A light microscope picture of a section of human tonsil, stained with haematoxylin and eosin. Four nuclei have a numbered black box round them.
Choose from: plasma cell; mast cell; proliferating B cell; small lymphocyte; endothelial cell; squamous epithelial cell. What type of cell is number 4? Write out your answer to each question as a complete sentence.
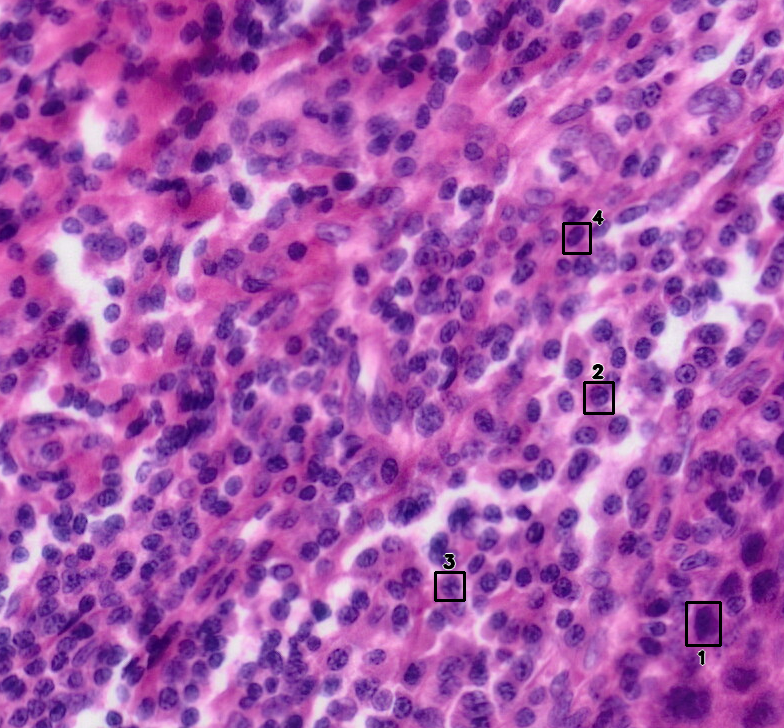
The cell given label 4 is a plasma cell.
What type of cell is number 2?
Among the marked cells, number 2 is a plasma cell.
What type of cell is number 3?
Cell 3 of the marked set is a plasma cell.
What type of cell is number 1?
The cell whose nucleus carries the number 1 is a squamous epithelial cell.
